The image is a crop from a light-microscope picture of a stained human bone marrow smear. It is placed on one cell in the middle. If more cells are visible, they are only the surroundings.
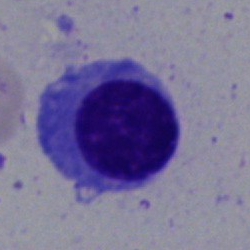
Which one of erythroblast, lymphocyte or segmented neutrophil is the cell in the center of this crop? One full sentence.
The central cell in this smear crop is an erythroblast.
